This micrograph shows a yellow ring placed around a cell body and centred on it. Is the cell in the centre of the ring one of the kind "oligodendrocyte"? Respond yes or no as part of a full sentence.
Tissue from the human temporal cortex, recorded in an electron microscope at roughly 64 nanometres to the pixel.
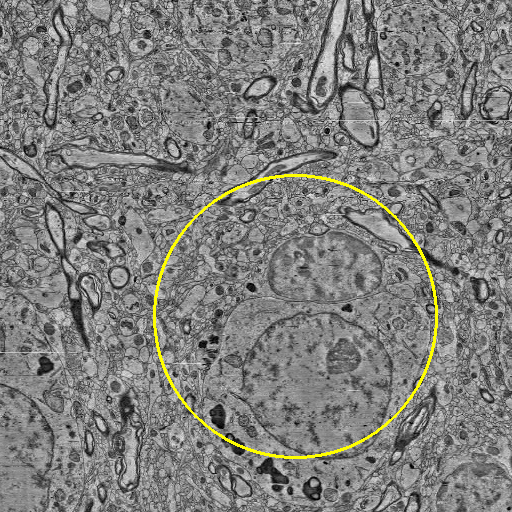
No, the cell in the centre of the ring within the picture belongs to another kind.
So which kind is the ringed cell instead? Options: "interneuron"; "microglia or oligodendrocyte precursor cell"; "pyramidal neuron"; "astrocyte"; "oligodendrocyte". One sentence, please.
In this picture, the ring is centred on a pyramidal neuron.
